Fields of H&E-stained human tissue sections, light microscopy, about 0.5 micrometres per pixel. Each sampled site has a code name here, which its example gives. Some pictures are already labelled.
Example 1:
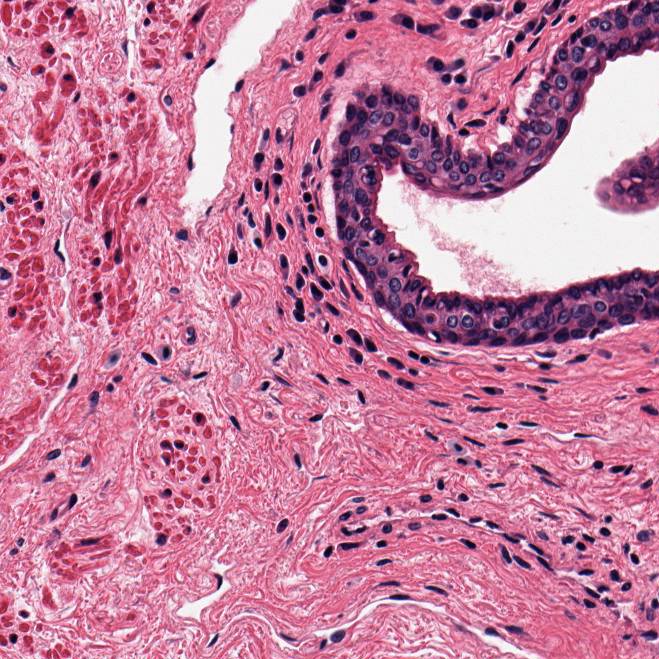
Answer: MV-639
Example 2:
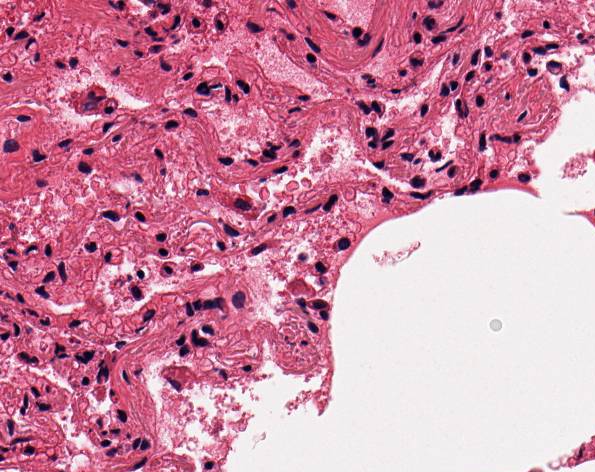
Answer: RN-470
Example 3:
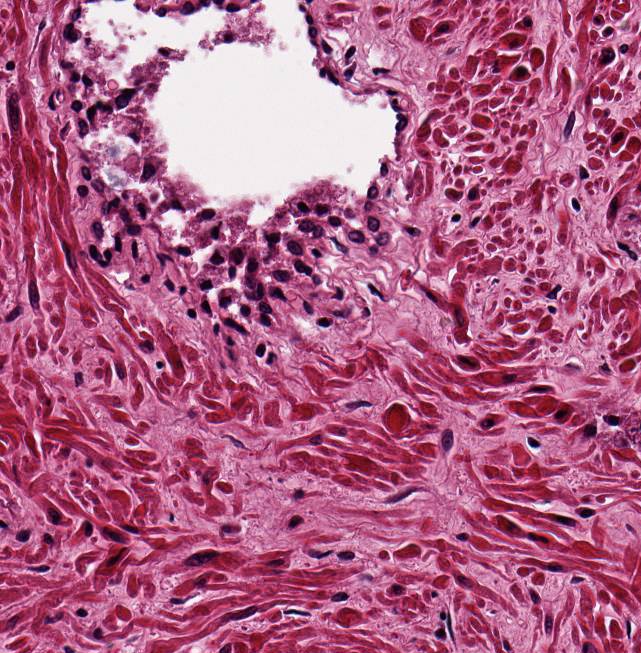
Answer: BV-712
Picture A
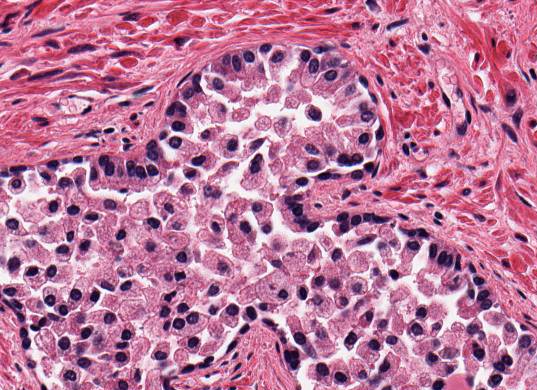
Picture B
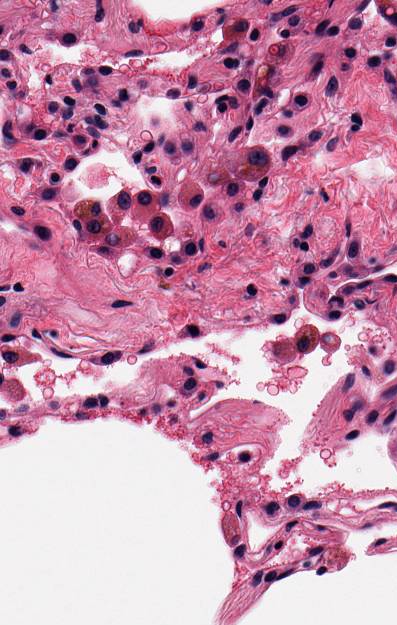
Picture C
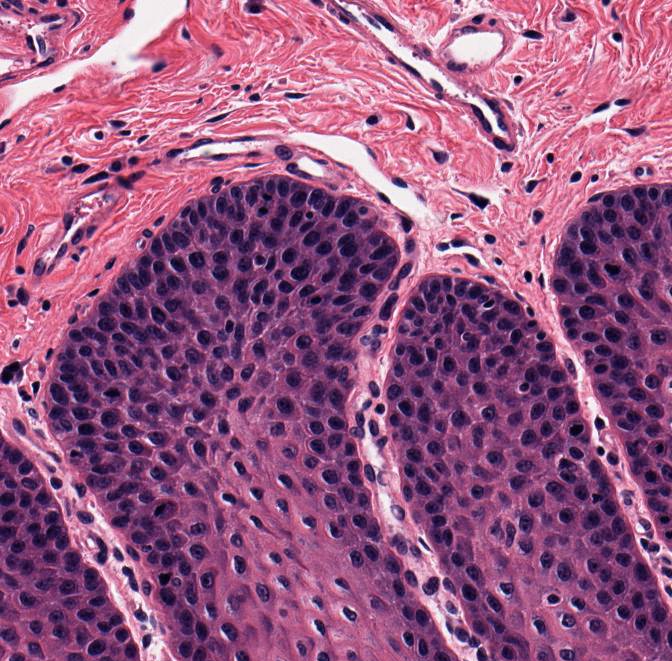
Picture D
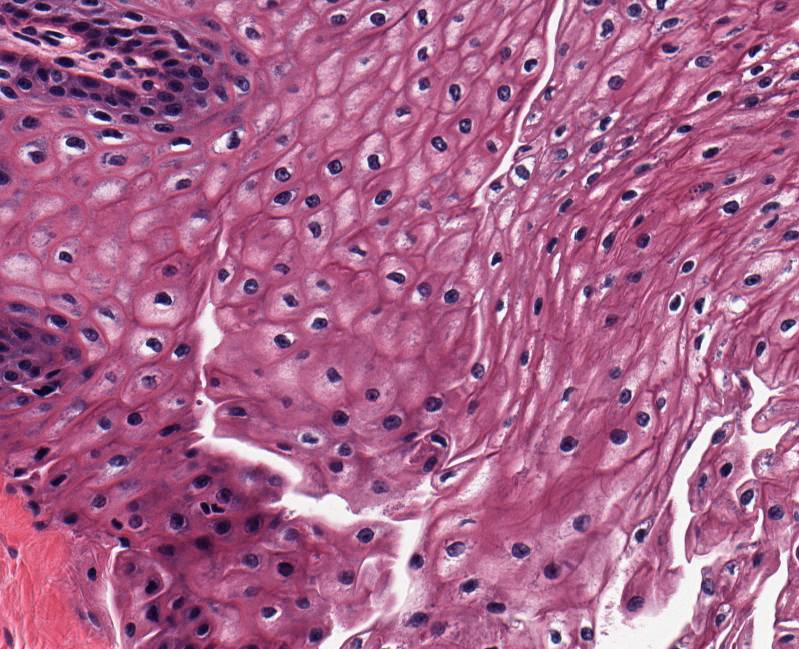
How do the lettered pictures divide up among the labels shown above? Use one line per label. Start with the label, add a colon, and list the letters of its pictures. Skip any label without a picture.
MV-639: C, D
RN-470: B
BV-712: A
